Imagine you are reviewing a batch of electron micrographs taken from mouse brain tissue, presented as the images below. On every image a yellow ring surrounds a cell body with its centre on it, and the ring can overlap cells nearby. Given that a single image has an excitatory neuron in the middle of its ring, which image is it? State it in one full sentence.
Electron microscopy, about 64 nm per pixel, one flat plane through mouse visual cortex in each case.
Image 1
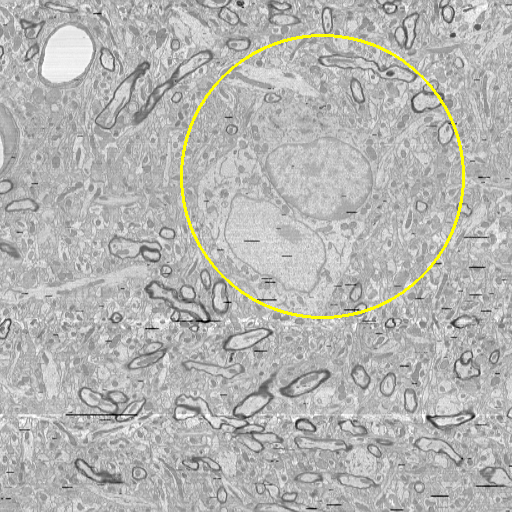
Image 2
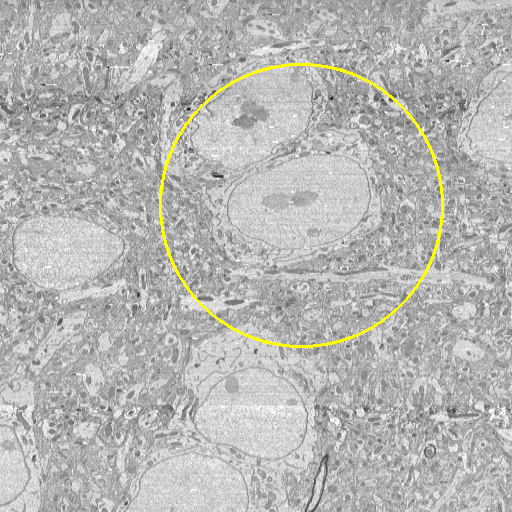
Of all the images, number 2 has the described cell at the centre of its ring.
